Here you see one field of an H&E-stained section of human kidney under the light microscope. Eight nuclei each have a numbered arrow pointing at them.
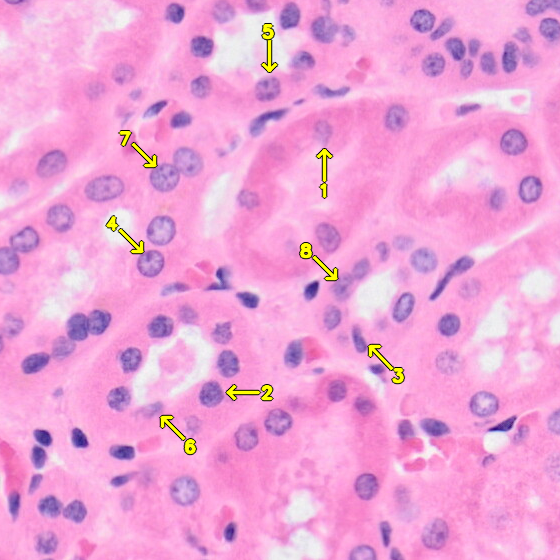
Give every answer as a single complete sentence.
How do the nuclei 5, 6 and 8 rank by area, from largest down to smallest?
The nuclei rank 5, 8, 6, from largest to smallest.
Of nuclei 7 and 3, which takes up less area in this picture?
Nucleus 3 is the smaller one; nucleus 7 covers about 2.5 times its area.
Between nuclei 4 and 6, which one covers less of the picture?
With nucleus 4 about 2 times its size, nucleus 6 is the smaller of the two.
